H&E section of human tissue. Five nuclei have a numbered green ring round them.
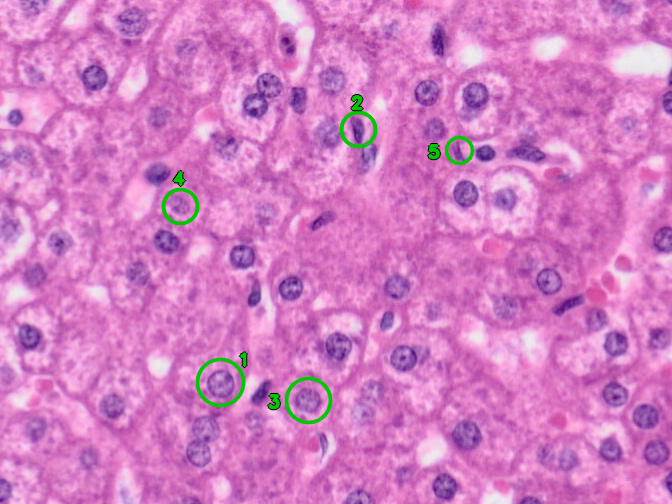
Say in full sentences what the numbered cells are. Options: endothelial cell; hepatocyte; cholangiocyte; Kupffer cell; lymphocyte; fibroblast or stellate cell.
Cells 1, 3 and 4 are hepatocytes. Cell 2 is a fibroblast or stellate cell. Cell 5 is an endothelial cell.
